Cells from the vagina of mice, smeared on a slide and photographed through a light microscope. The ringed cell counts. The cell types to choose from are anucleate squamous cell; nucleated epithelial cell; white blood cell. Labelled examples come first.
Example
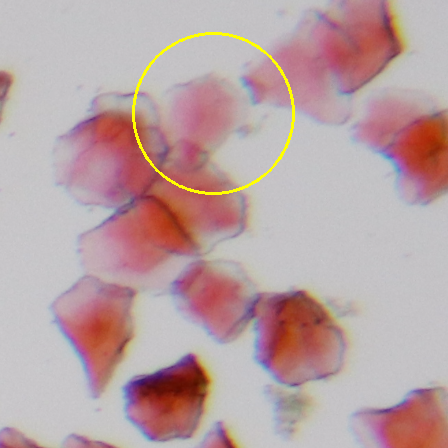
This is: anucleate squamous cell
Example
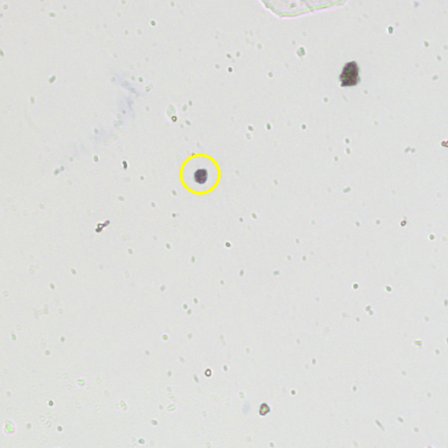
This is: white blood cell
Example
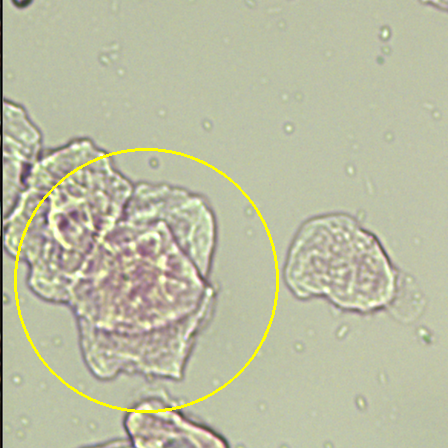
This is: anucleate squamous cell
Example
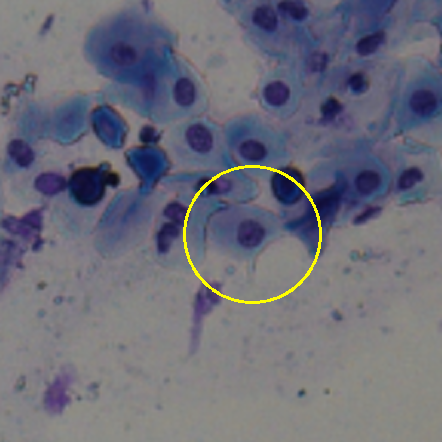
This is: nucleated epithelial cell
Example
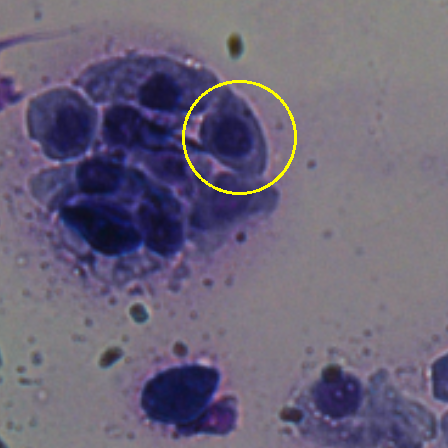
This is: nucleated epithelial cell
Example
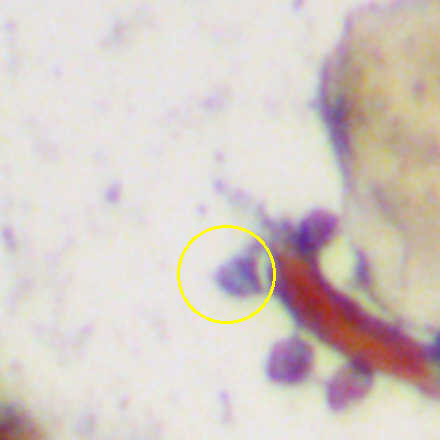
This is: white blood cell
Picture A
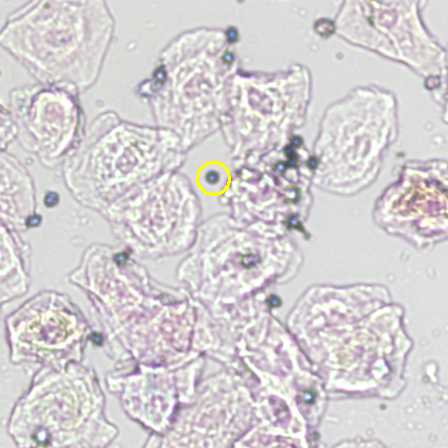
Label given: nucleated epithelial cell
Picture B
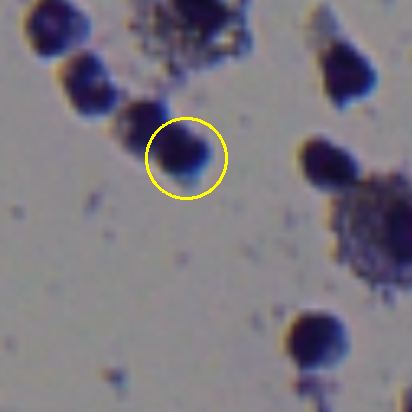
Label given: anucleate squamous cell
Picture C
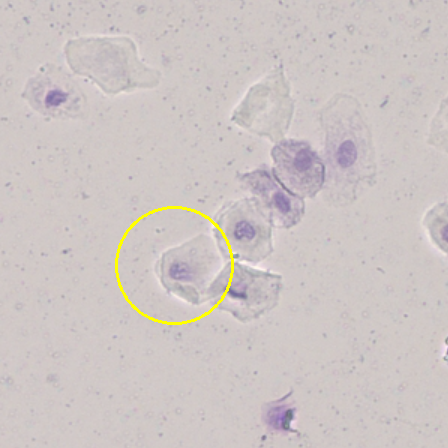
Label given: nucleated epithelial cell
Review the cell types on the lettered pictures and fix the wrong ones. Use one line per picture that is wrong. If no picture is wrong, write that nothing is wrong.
A: white blood cell, not nucleated epithelial cell
B: white blood cell, not anucleate squamous cell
